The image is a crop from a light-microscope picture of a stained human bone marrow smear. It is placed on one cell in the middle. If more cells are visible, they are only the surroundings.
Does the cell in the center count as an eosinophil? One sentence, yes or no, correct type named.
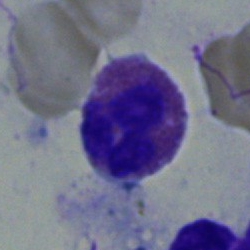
Yes, the cell located at the center is an eosinophil.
